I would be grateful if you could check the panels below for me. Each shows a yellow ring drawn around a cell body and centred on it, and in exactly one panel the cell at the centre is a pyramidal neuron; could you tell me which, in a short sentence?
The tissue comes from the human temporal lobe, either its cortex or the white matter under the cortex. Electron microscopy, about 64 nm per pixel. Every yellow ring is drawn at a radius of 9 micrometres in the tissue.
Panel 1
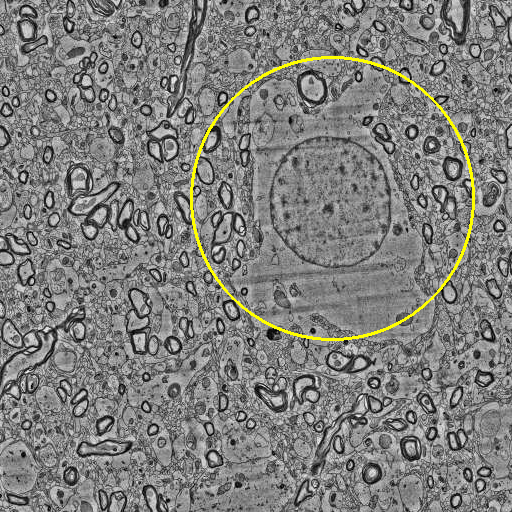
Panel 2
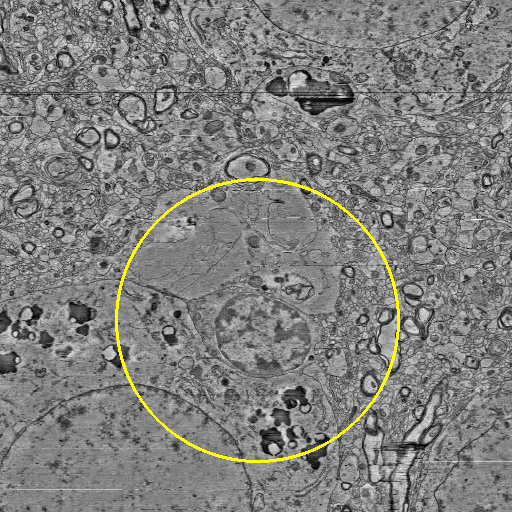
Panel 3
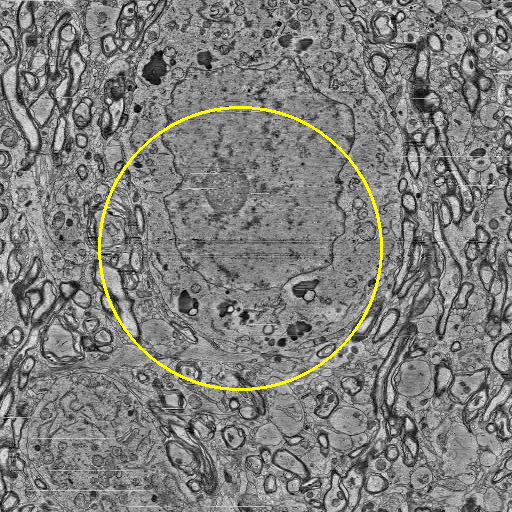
The ring in Panel 3 is centred on it.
